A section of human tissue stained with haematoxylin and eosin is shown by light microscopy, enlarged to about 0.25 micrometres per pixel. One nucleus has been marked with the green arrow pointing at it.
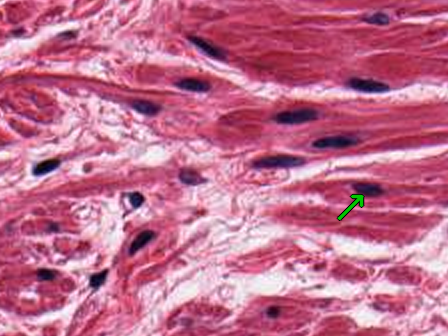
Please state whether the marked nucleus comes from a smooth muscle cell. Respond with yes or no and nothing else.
yes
